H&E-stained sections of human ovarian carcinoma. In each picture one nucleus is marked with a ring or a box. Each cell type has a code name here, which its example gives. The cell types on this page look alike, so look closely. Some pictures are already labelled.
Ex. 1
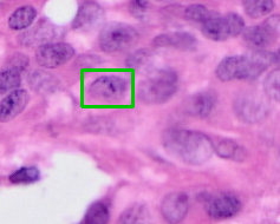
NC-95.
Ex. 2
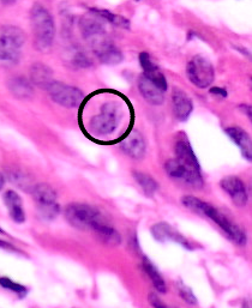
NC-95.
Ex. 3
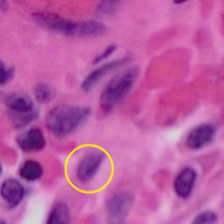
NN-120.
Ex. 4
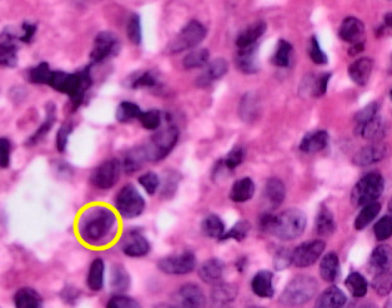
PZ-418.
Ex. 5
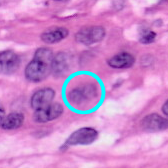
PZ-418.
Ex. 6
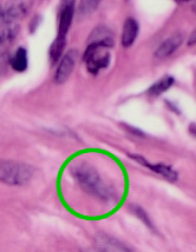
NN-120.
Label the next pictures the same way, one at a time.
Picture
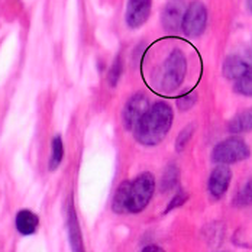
PZ-418.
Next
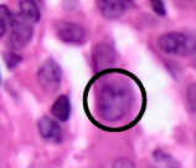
PZ-418.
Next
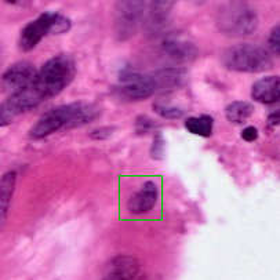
NC-95.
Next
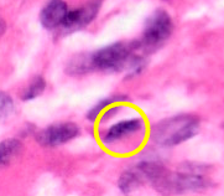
NN-120.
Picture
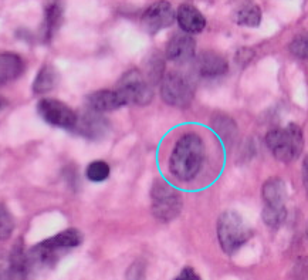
PZ-418.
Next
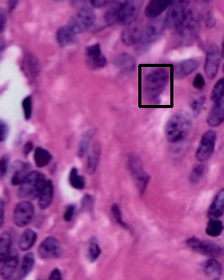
PZ-418.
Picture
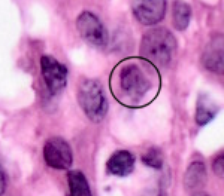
NC-95.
